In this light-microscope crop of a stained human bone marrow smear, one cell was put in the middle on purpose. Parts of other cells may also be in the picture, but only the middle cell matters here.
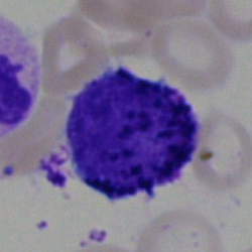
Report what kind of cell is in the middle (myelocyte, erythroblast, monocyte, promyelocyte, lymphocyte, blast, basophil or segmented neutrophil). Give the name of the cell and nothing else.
basophil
